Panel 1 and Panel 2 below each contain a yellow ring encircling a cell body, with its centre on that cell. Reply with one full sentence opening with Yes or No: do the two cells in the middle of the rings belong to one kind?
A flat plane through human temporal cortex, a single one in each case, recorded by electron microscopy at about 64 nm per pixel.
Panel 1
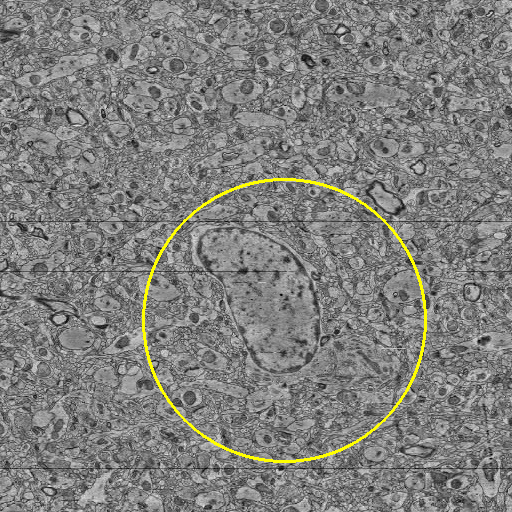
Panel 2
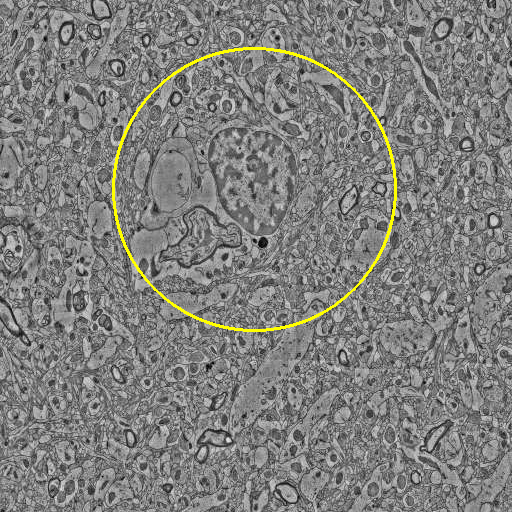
Yes, the cells at the middle of the Panel 1 ring and the Panel 2 ring are of one kind.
